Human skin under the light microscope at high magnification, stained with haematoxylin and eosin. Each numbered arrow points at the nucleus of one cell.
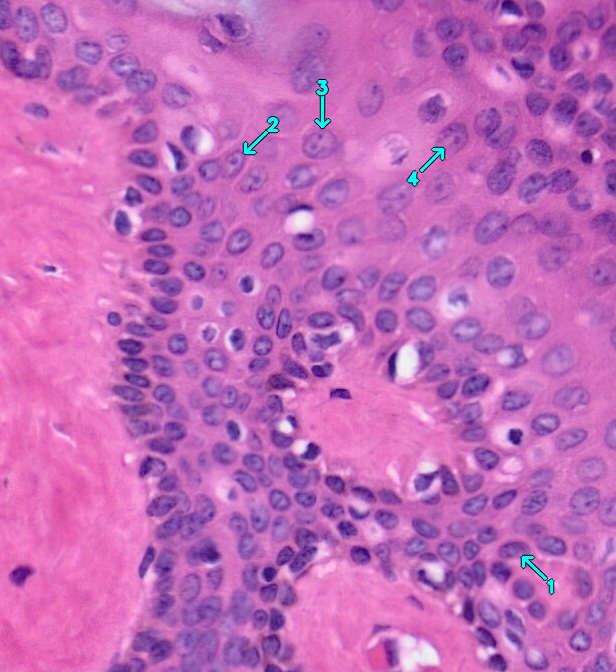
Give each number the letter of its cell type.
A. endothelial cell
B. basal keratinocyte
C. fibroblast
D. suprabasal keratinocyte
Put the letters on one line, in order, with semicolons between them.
B; D; D; D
